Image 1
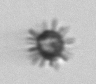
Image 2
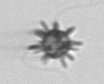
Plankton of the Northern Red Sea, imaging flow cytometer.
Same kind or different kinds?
Same: Rhabdosphaera.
